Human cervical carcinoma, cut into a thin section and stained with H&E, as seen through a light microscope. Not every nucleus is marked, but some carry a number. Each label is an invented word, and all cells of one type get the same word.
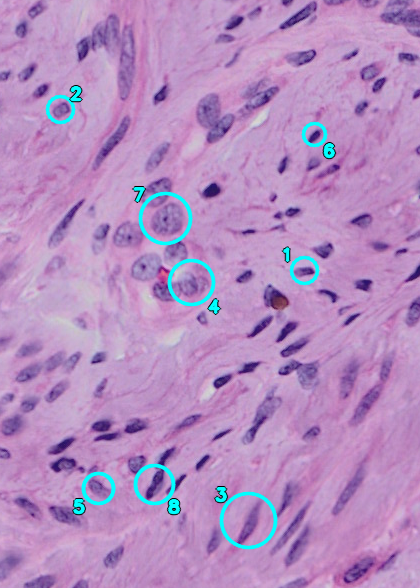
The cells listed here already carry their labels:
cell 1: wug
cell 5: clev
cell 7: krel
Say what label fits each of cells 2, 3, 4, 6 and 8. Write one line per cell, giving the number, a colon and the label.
2: clev
3: clev
4: krel
6: wug
8: wug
